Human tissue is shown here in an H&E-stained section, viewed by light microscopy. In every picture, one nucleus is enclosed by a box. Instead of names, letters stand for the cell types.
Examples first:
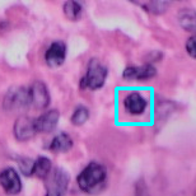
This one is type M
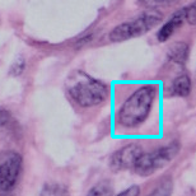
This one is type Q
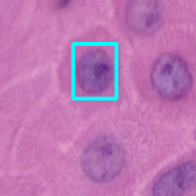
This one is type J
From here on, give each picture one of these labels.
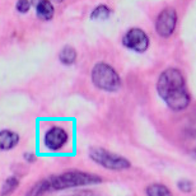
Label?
type M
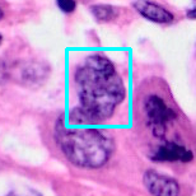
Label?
type Q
